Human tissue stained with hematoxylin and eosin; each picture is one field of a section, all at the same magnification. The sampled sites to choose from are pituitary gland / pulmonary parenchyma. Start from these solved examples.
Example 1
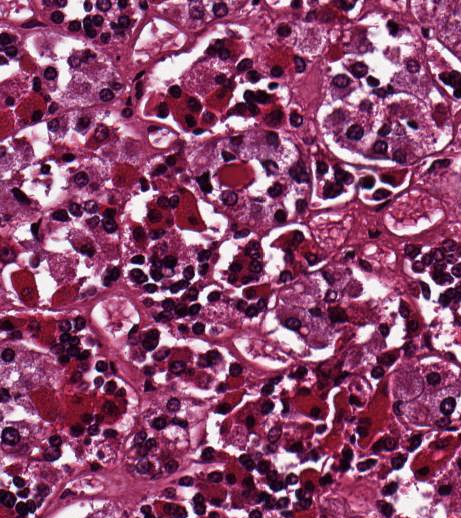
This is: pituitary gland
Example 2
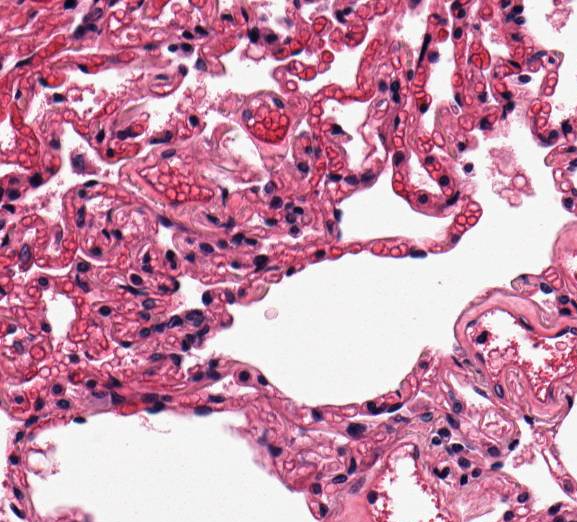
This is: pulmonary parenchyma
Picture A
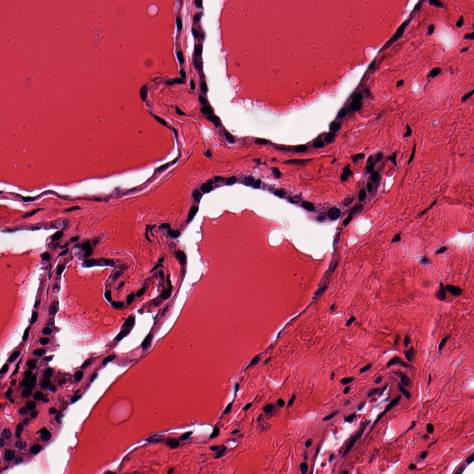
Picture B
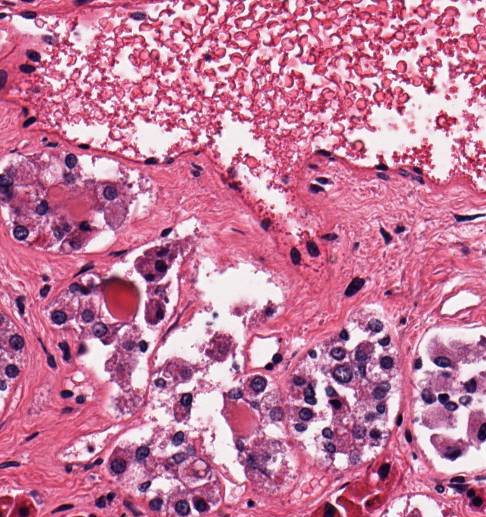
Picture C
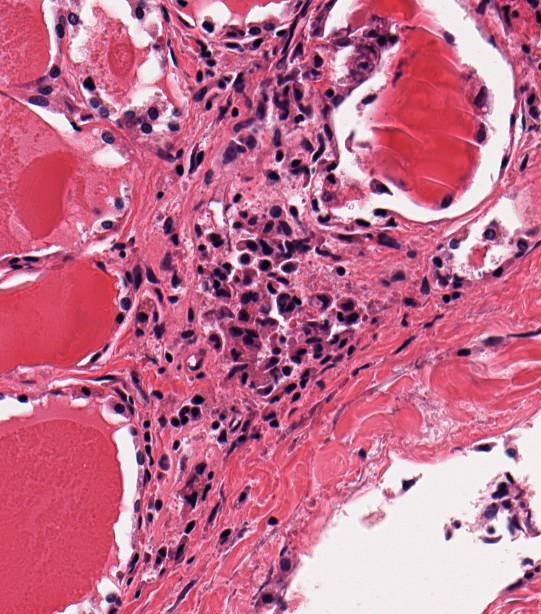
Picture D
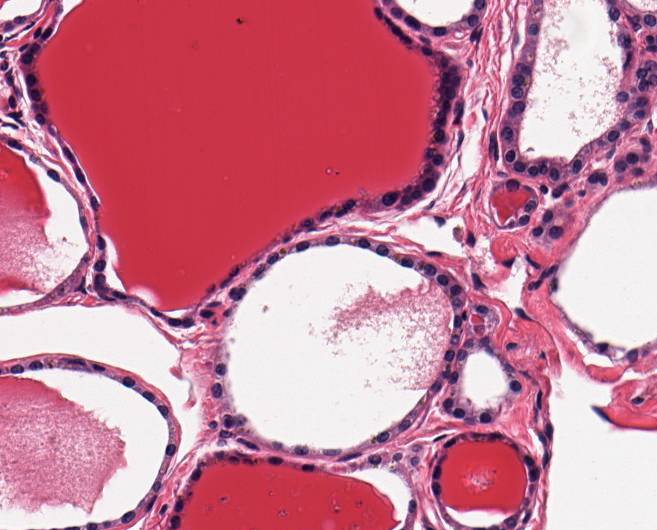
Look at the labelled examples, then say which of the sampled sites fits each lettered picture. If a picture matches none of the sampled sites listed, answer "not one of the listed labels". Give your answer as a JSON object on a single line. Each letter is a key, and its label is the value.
{"A": "not one of the listed labels", "B": "pituitary gland", "C": "not one of the listed labels", "D": "not one of the listed labels"}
